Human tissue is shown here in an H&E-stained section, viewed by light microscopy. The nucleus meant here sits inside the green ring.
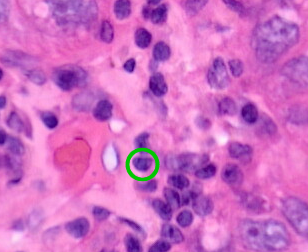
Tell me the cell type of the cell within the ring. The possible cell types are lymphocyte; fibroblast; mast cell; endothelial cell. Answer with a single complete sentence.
In this section of tissue, the cell within the ring is a lymphocyte.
